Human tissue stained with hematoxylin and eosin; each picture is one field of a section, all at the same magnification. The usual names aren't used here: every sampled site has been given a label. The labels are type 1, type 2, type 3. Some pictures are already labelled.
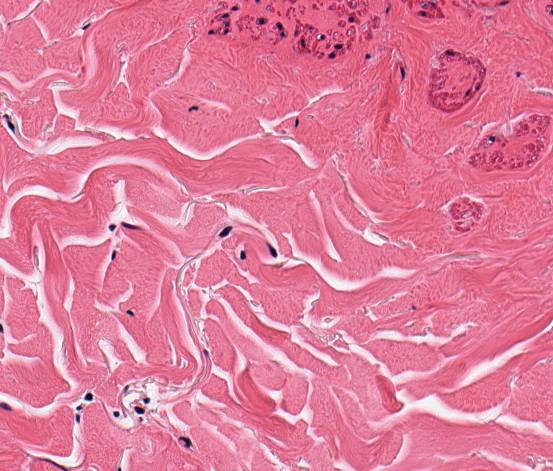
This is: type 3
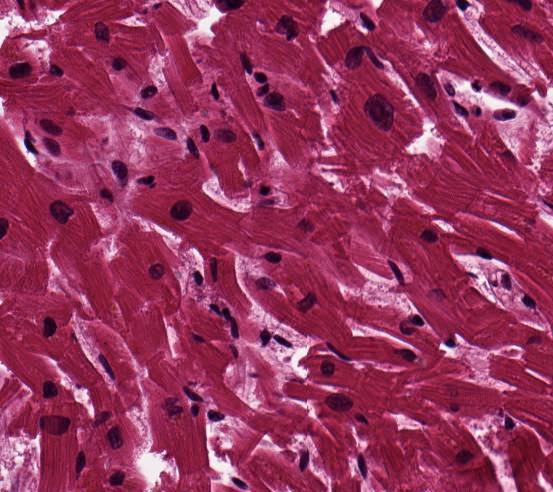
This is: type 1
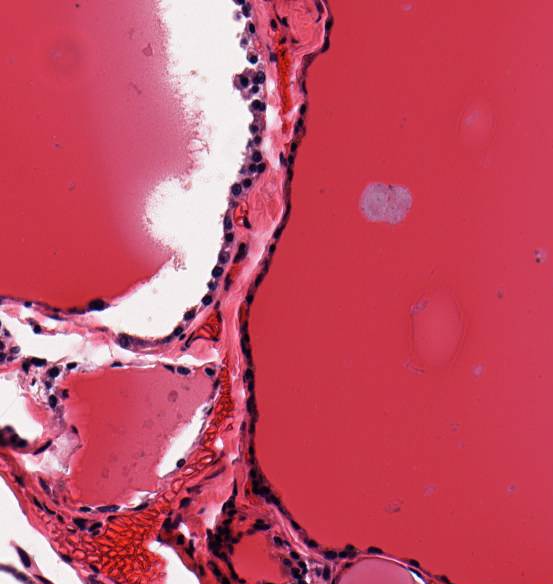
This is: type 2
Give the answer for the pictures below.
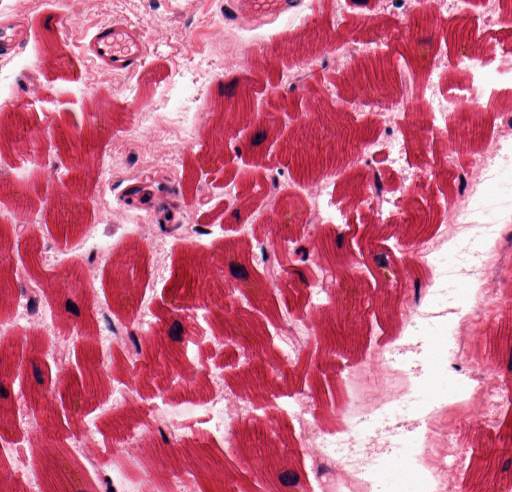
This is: type 1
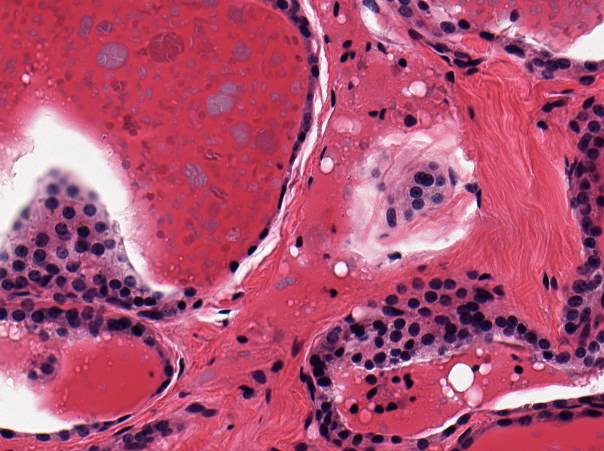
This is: type 2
